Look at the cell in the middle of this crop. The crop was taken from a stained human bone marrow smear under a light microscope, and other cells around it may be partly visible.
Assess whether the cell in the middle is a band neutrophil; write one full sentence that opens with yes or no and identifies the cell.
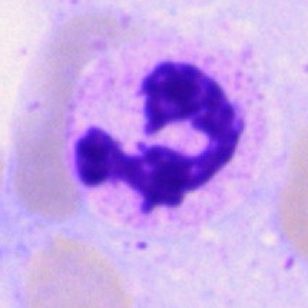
No, the central cell is properly termed a segmented neutrophil, not a band neutrophil.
